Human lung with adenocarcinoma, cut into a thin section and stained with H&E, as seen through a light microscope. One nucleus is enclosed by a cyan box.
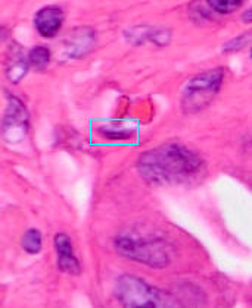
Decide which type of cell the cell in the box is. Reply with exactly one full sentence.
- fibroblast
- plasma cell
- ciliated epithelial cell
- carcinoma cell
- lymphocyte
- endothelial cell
The expected answer is simply that the cell in the box is an endothelial cell.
